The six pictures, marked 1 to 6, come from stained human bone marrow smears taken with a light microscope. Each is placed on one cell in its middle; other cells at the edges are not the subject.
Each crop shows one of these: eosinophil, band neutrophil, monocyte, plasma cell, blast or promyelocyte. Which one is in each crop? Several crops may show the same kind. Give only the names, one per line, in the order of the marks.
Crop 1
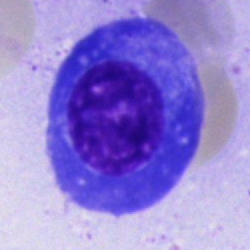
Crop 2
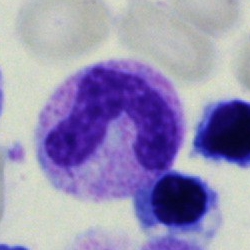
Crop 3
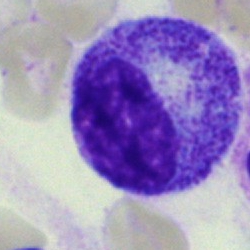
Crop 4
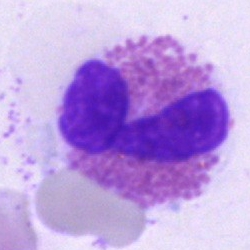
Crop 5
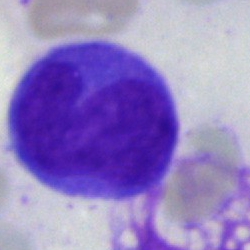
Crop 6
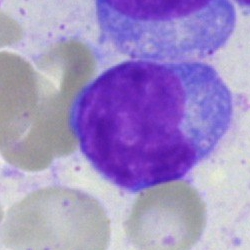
plasma cell
band neutrophil
promyelocyte
eosinophil
monocyte
blast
